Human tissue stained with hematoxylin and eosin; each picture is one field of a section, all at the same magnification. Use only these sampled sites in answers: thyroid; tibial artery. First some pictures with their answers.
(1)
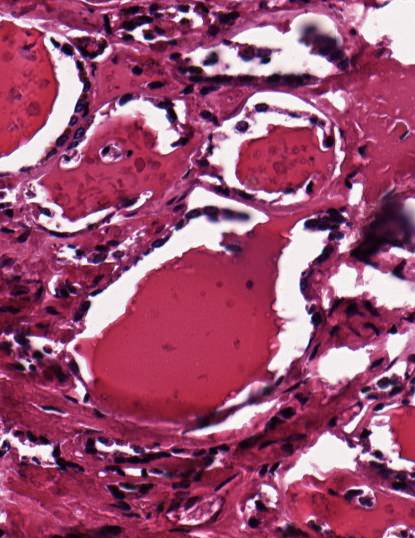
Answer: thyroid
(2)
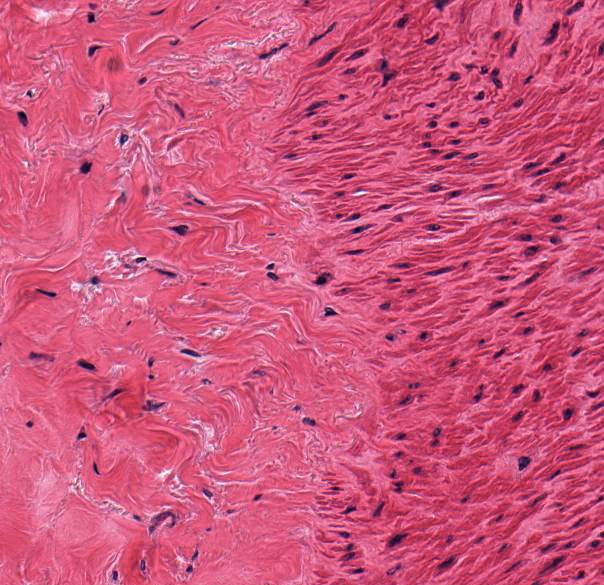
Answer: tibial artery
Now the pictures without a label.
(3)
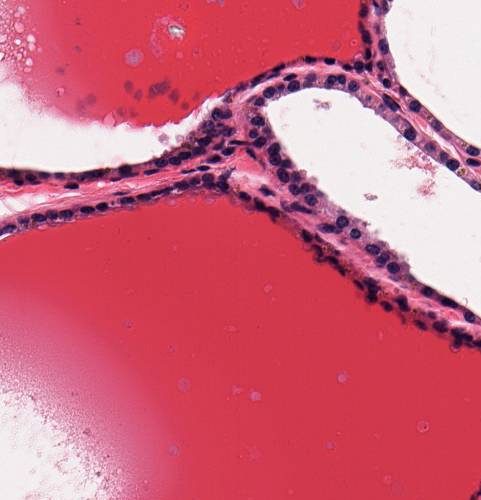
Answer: thyroid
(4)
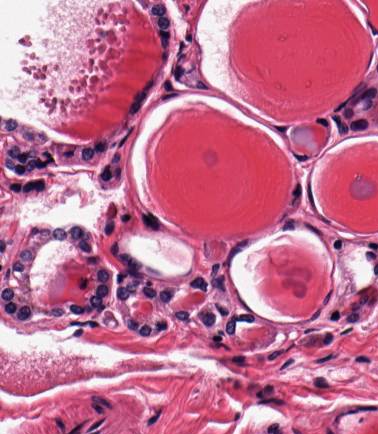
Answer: thyroid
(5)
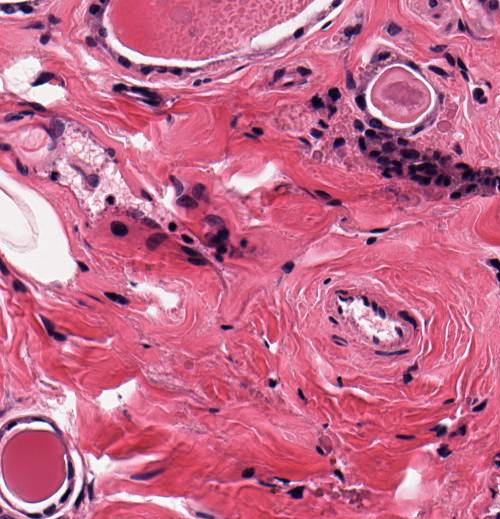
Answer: thyroid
